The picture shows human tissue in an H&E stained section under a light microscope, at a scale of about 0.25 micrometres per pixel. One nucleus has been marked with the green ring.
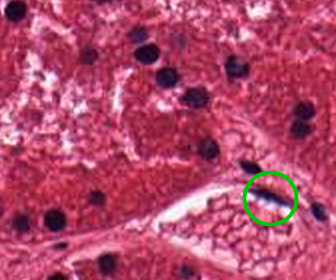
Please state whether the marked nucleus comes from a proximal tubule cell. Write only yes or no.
no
